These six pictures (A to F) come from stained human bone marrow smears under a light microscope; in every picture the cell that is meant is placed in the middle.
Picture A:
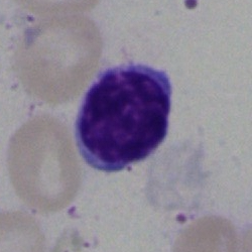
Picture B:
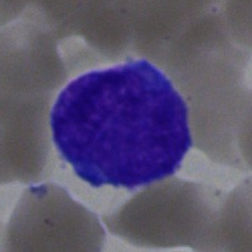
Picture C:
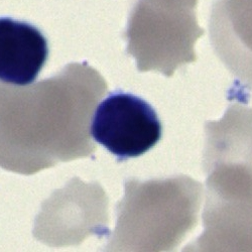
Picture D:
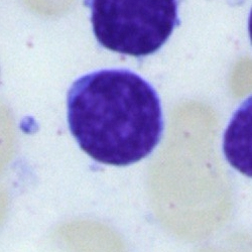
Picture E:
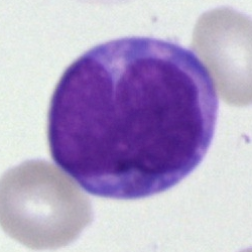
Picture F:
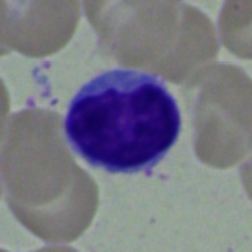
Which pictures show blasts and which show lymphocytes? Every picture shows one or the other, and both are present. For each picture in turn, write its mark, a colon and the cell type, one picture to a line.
A: lymphocyte
B: blast
C: lymphocyte
D: lymphocyte
E: blast
F: lymphocyte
